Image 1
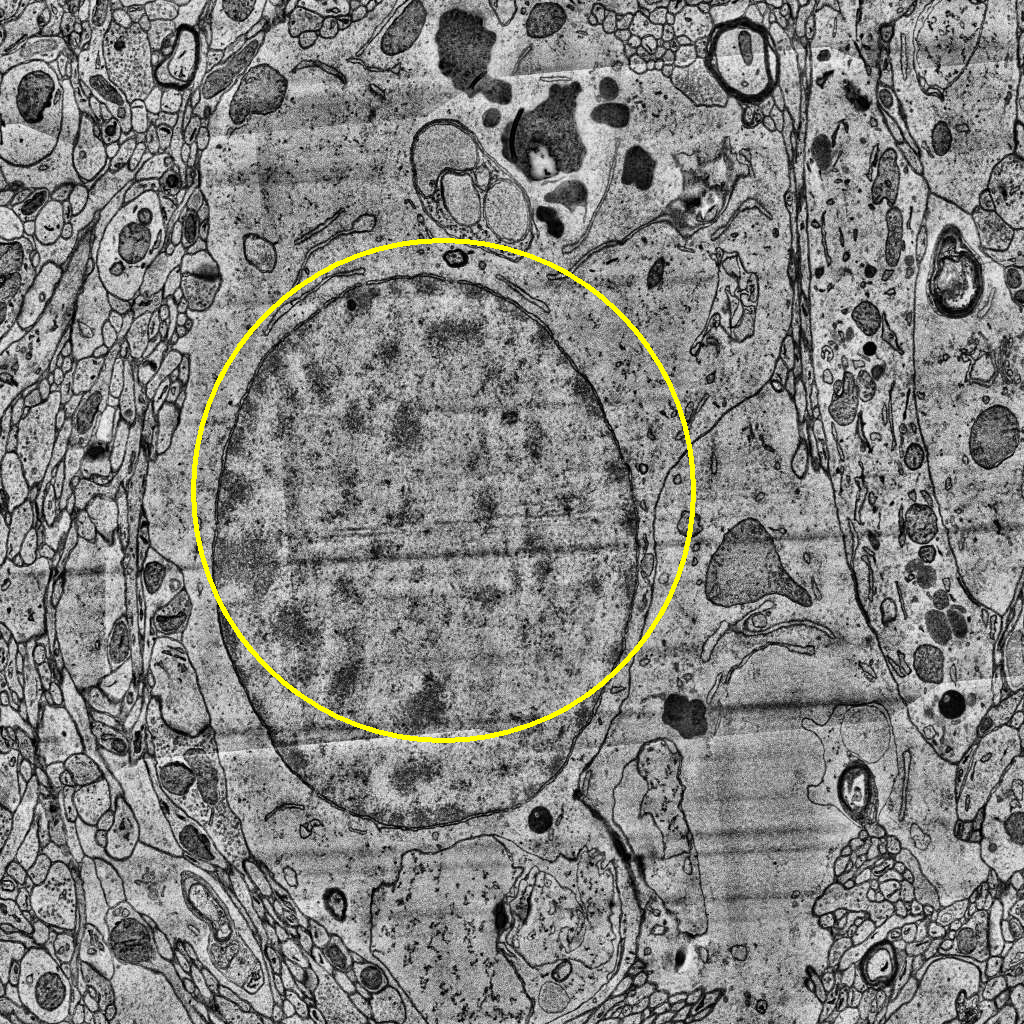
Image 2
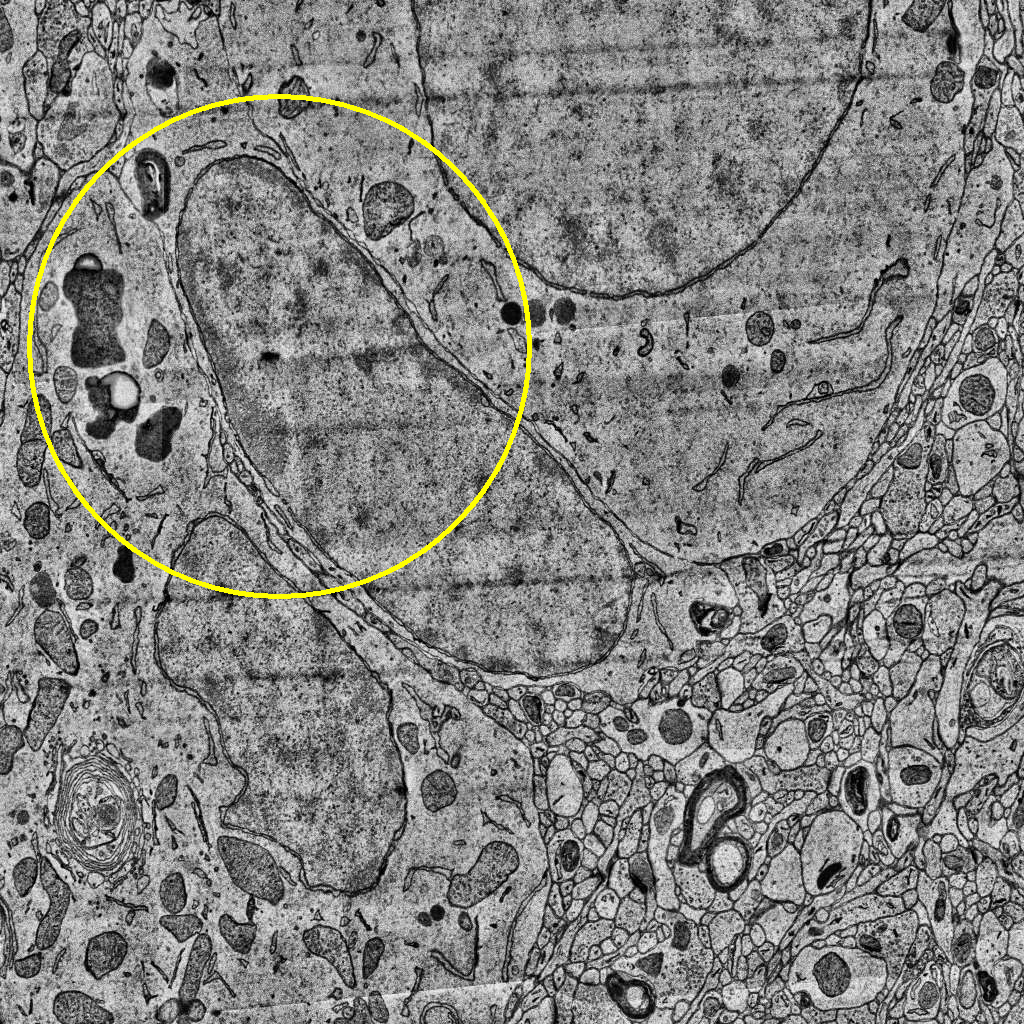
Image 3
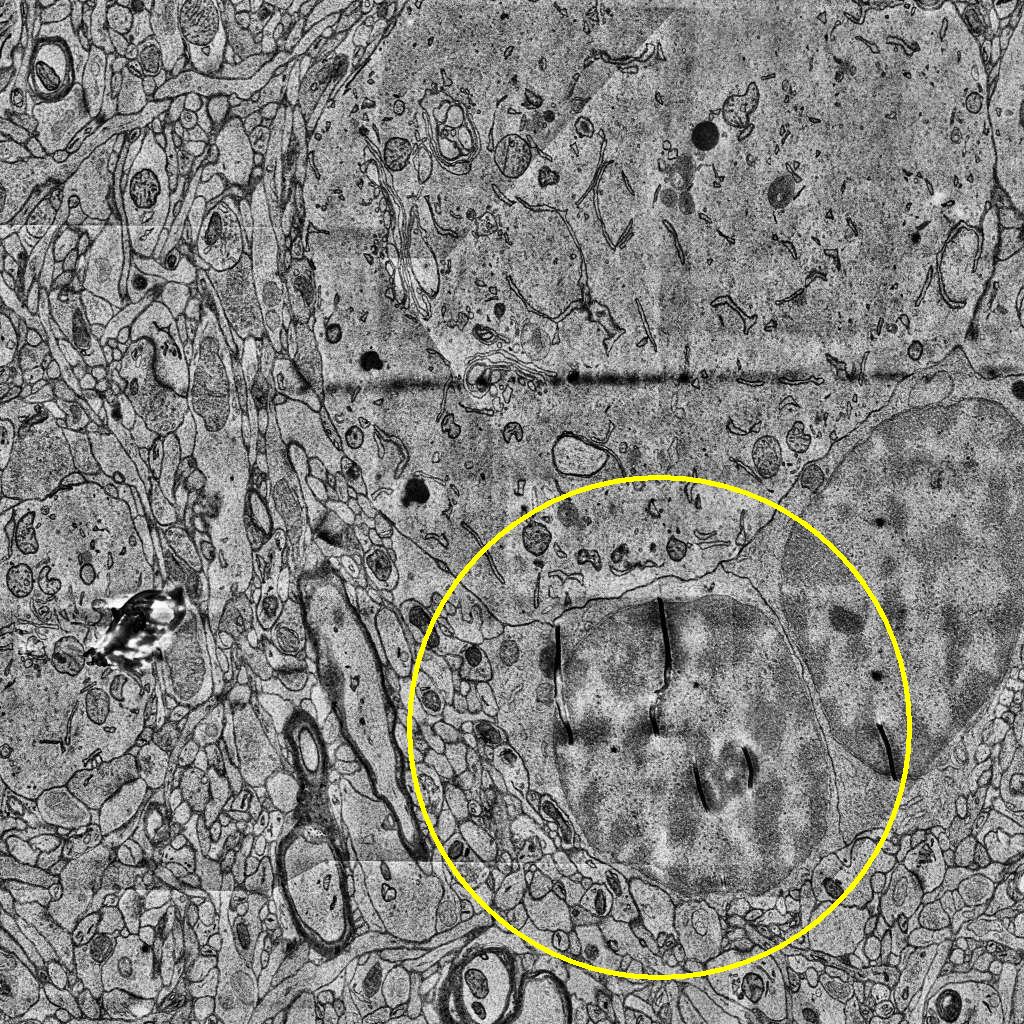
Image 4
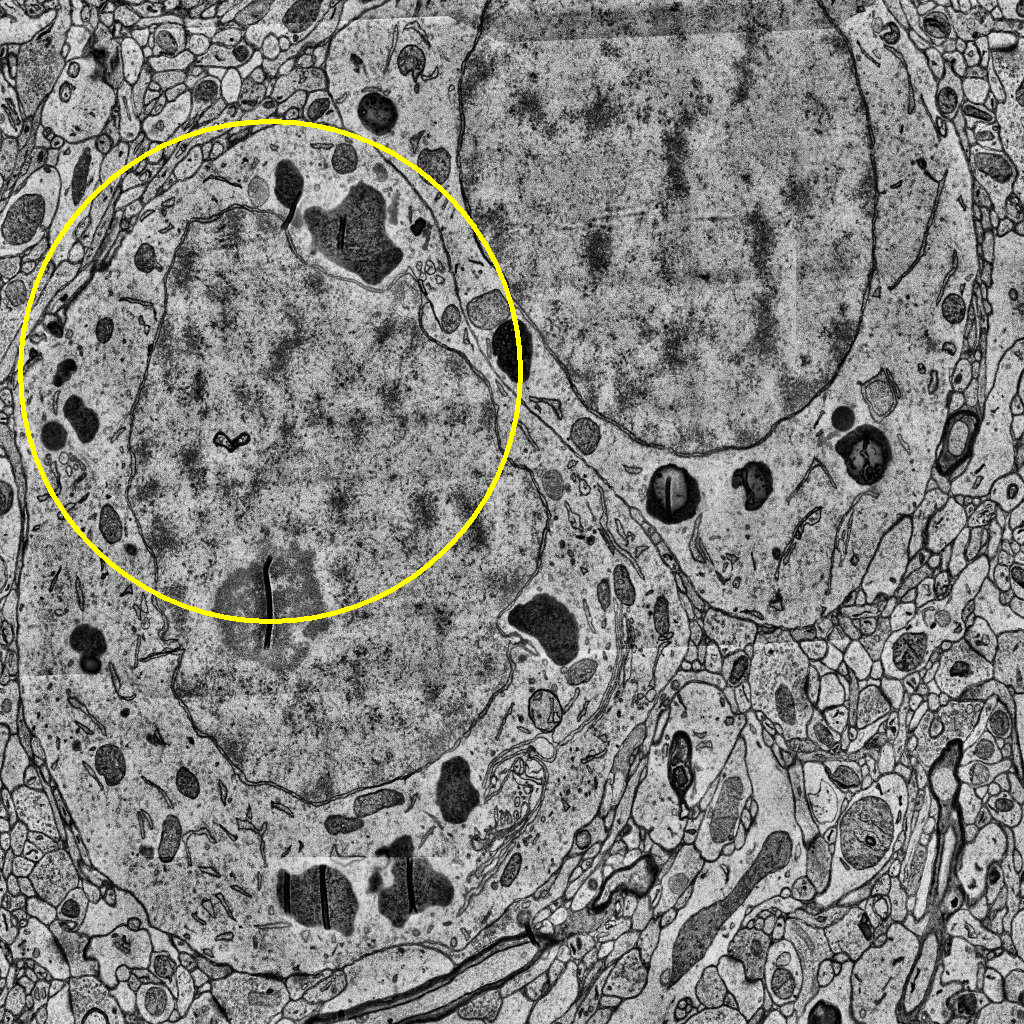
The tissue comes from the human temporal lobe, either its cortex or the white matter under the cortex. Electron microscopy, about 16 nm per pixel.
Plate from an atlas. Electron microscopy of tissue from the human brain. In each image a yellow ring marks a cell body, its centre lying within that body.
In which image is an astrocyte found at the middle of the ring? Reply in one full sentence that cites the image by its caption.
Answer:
The requested cell is the one at the ring's centre in Image 1.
